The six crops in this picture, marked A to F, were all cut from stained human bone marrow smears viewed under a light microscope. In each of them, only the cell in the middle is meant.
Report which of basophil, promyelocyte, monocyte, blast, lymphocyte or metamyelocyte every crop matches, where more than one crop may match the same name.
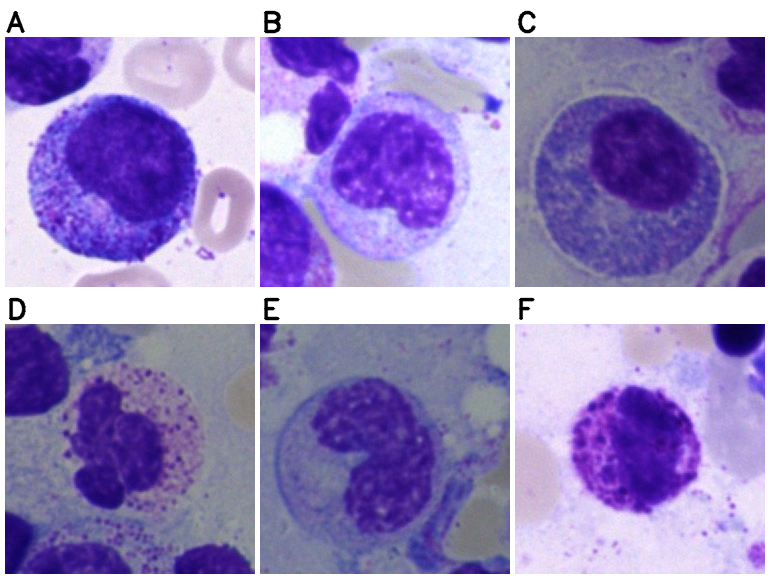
A: promyelocyte
B: metamyelocyte
C: promyelocyte
D: basophil
E: monocyte
F: basophil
